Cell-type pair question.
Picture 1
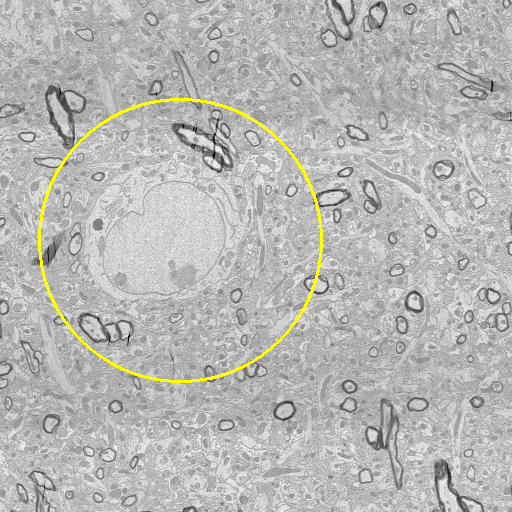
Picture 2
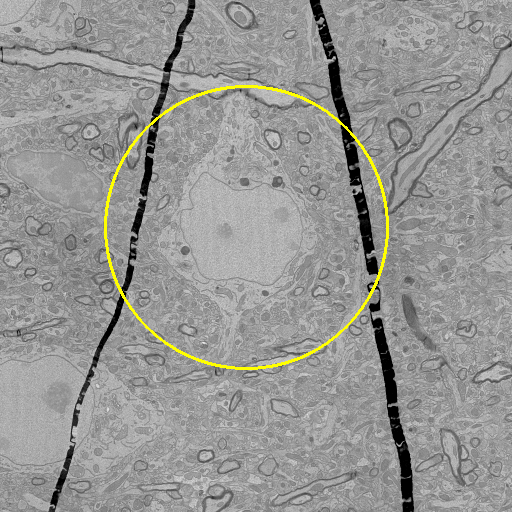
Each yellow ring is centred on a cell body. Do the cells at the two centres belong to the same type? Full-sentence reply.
Yes, the two cells belong to the same type.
